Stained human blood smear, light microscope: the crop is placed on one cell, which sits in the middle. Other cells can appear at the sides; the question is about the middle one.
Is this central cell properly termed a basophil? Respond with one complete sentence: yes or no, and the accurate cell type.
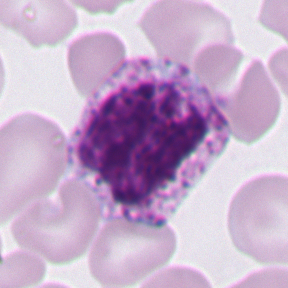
Yes, the cell under consideration, the one in the middle, is a basophil.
